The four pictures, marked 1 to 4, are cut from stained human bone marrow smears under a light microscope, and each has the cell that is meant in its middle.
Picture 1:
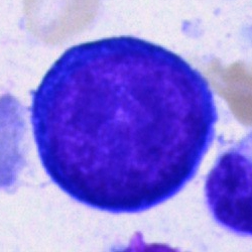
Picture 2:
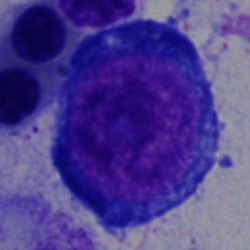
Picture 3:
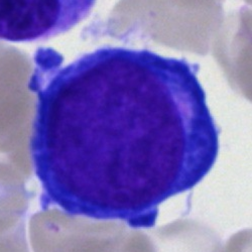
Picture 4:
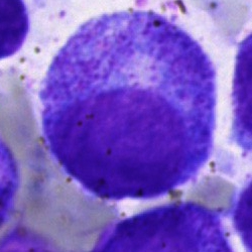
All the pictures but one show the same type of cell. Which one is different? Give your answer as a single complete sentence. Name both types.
Unlike the rest, which show proerythroblasts, picture 4 shows a promyelocyte.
